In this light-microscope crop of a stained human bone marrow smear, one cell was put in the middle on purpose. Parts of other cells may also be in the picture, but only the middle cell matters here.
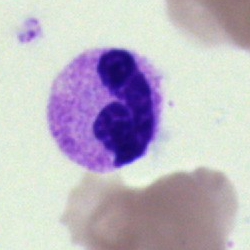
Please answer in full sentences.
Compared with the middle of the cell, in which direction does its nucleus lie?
Toward the right of the cell lies its nucleus.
